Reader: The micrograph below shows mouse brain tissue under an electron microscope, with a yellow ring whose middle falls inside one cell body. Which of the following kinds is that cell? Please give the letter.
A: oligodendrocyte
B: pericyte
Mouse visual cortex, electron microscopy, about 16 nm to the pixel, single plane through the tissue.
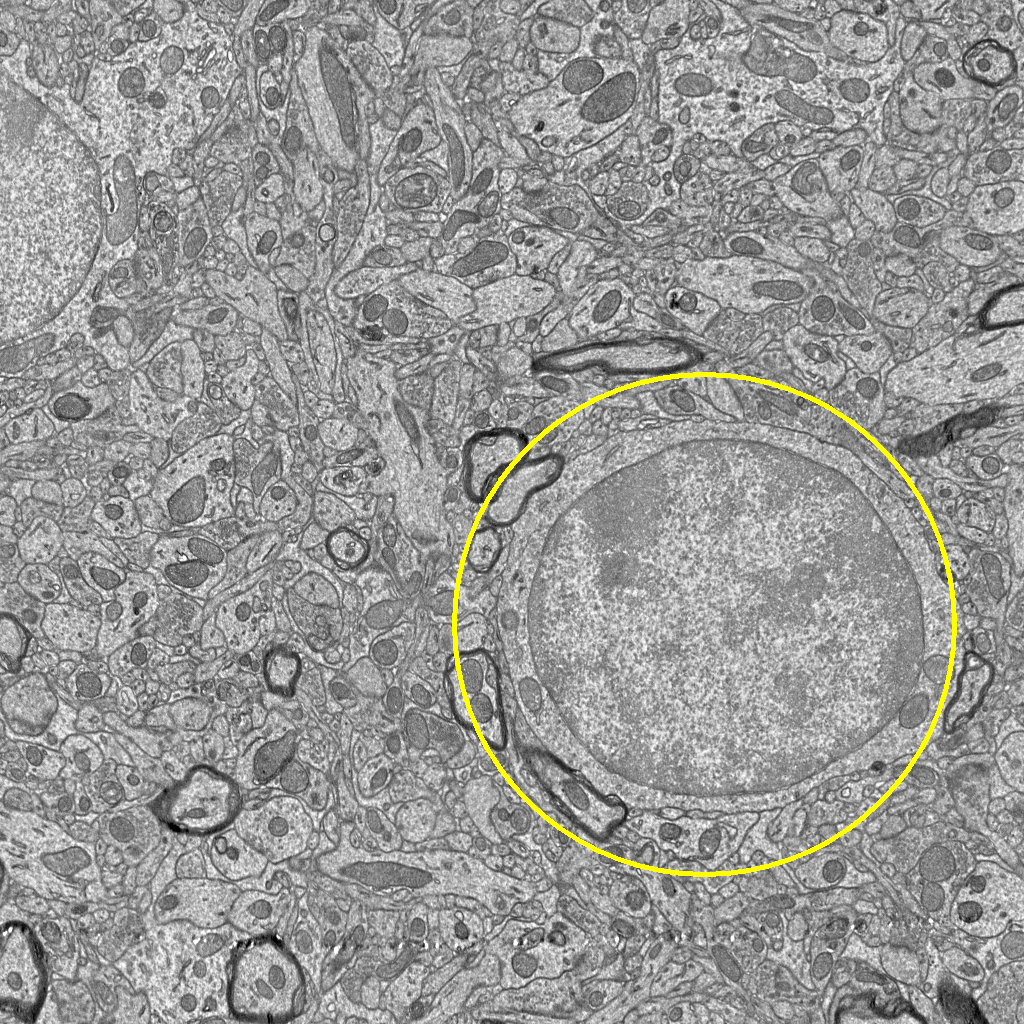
A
